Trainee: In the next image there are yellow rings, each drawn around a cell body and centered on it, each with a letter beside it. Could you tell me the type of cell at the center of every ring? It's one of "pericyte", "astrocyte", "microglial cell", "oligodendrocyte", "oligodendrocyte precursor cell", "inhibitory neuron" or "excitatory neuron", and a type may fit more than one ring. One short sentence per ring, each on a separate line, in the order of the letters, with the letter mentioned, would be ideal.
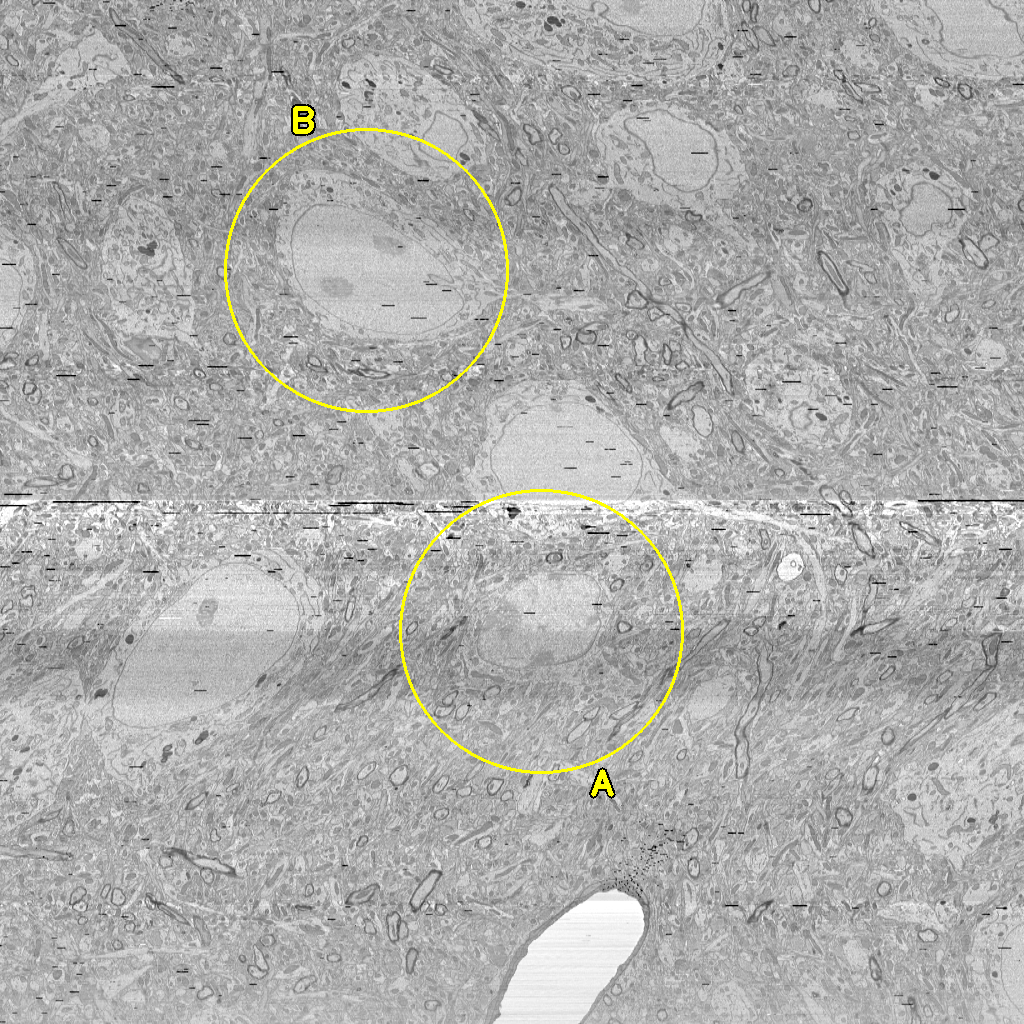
What ring A is centered on is an astrocyte.
What ring B is centered on is an excitatory neuron.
